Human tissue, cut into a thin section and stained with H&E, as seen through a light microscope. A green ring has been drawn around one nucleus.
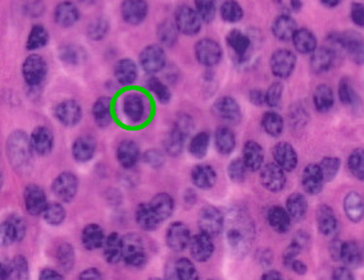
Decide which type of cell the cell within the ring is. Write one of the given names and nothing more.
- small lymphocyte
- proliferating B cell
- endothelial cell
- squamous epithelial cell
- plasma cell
plasma cell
